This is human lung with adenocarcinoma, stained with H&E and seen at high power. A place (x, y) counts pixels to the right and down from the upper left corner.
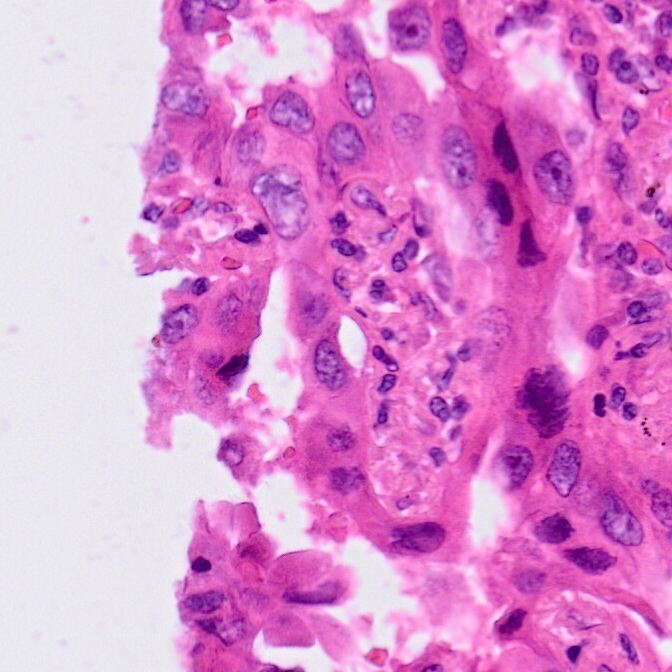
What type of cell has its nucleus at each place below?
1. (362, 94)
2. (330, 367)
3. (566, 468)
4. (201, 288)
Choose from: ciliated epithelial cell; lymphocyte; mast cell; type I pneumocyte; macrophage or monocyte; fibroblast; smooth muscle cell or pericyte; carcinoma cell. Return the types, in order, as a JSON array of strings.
["carcinoma cell", "carcinoma cell", "carcinoma cell", "lymphocyte"]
